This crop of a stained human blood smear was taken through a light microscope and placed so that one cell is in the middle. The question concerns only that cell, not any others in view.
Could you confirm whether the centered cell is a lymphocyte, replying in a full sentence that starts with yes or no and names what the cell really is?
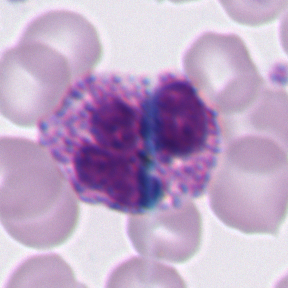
No, at the middle of the crop is a basophil, not a lymphocyte.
